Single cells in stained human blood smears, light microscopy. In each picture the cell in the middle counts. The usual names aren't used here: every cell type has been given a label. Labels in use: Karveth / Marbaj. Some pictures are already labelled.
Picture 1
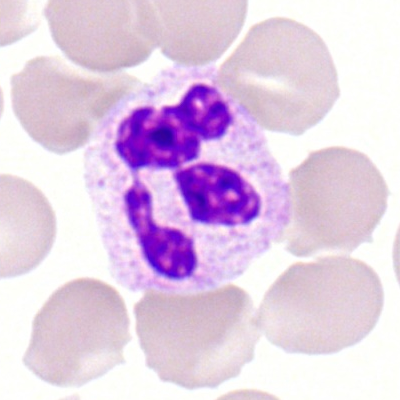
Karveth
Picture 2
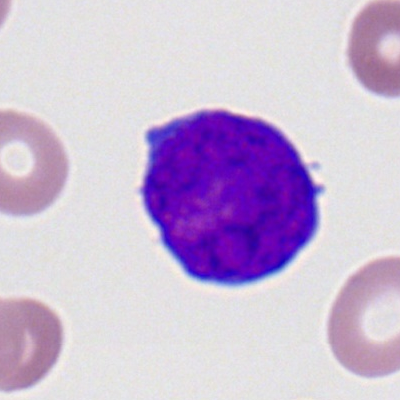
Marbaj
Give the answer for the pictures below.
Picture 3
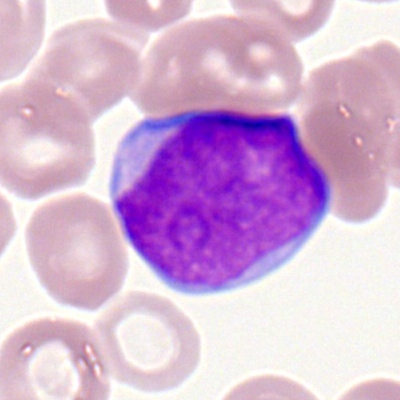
Marbaj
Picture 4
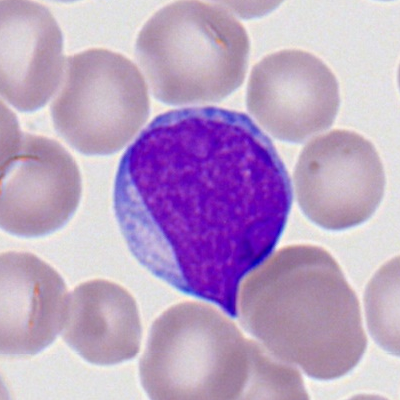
Marbaj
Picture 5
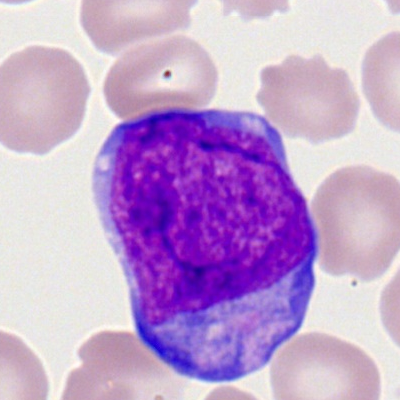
Marbaj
